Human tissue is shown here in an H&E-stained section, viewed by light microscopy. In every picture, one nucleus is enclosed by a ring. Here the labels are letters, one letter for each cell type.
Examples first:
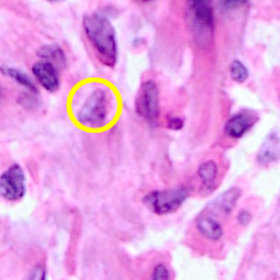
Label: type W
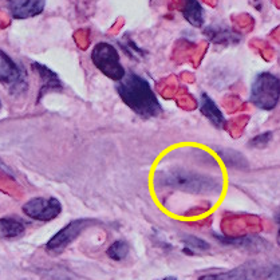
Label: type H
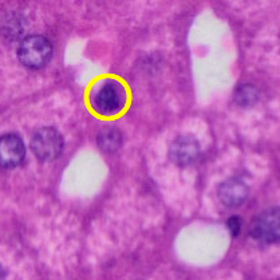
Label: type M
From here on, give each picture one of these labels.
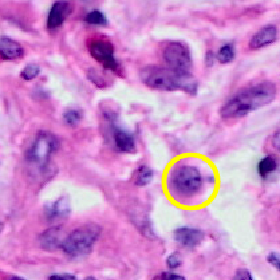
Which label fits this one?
type W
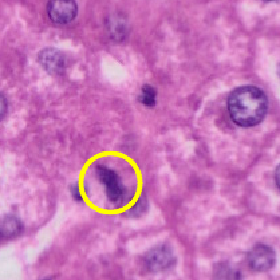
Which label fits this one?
type M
